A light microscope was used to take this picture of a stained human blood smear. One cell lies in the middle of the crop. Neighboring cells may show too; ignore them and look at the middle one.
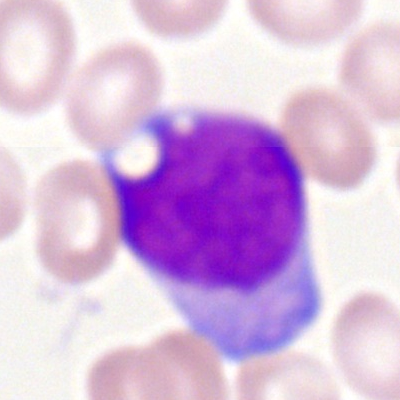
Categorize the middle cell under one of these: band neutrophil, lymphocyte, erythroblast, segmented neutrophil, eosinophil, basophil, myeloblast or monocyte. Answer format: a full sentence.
The crop's centre is taken up by a myeloblast.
